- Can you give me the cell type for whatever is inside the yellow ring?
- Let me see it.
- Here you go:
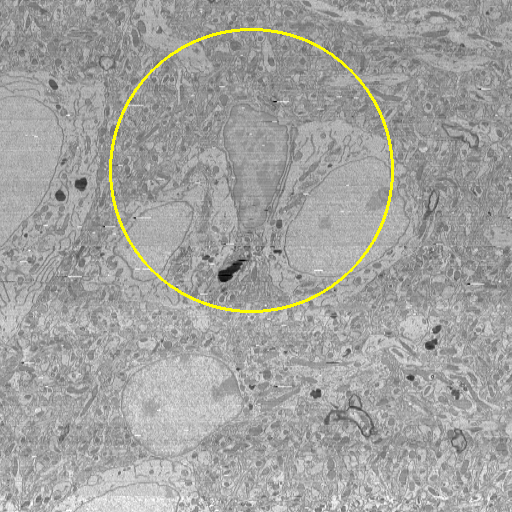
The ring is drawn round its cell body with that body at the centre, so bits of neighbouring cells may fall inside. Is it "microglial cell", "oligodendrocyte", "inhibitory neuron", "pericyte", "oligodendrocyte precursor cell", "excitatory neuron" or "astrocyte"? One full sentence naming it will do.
The cell body in the middle of the ring in this picture belongs to a microglial cell.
